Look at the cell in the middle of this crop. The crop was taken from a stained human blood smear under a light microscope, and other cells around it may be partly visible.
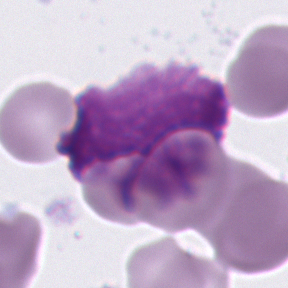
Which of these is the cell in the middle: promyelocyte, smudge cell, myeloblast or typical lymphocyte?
smudge cell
